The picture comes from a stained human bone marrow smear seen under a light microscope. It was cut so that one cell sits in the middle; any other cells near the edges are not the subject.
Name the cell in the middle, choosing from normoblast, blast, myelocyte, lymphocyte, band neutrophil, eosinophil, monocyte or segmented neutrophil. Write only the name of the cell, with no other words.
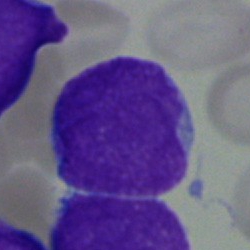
blast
